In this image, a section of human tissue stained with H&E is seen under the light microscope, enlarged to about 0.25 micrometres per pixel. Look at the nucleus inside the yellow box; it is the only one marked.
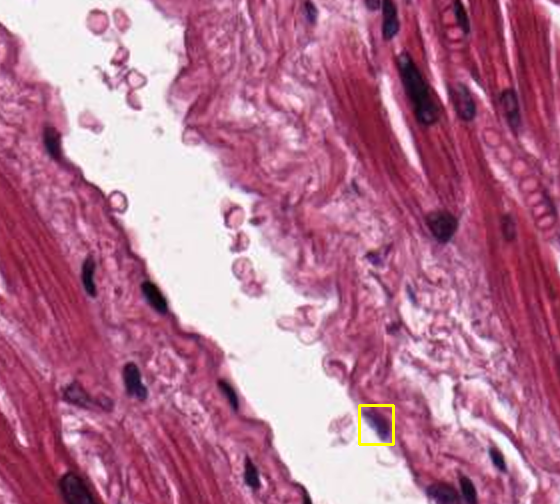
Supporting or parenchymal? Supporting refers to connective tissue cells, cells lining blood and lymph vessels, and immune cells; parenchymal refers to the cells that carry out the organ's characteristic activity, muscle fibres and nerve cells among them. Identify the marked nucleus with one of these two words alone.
supporting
